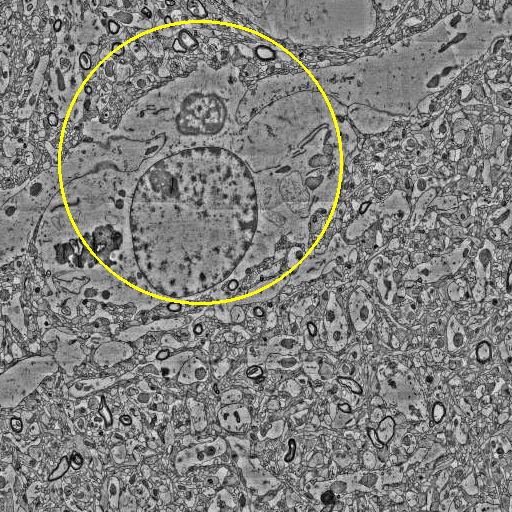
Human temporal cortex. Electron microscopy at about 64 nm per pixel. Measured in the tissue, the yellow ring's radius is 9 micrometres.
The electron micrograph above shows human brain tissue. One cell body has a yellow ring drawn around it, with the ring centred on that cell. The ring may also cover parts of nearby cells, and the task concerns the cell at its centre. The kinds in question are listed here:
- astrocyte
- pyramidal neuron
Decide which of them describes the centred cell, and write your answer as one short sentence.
The centred cell is an astrocyte.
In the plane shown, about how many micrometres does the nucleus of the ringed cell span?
The nucleus has a long axis of about 10 micrometres and a short axis of about 8 micrometres in this plane.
